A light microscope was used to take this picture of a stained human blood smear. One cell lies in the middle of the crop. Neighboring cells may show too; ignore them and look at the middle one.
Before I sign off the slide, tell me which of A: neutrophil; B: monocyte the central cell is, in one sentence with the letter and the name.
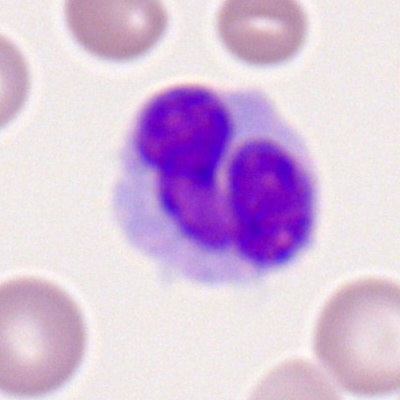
Since the cell in the centre is a monocyte, the correct option is B.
